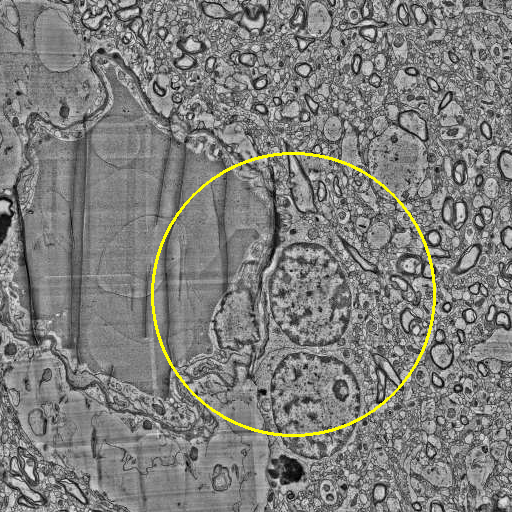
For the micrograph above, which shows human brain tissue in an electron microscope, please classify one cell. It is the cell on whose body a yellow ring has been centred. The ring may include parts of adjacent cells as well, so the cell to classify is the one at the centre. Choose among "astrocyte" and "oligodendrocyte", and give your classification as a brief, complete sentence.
I classify this cell as an oligodendrocyte.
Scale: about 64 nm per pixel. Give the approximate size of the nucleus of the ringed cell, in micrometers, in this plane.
In this plane, about 7 micrometres in length and 5 in width.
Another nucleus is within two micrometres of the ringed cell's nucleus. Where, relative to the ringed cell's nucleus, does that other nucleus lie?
That other nucleus appears below it.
